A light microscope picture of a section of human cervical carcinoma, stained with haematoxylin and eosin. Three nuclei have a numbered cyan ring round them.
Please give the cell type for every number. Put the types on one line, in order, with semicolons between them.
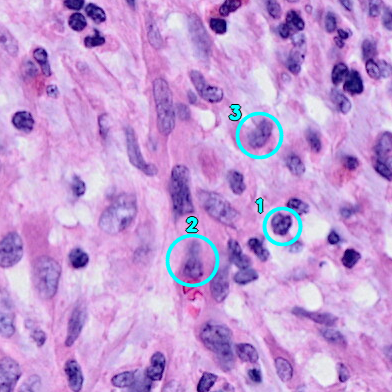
lymphocyte; endothelial cell; macrophage or monocyte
